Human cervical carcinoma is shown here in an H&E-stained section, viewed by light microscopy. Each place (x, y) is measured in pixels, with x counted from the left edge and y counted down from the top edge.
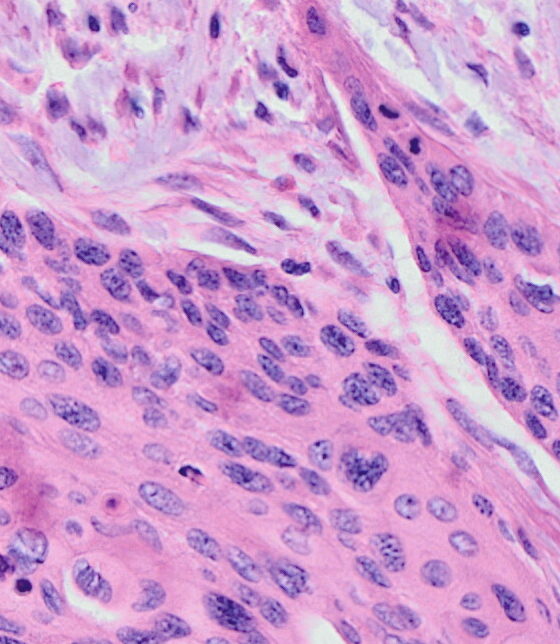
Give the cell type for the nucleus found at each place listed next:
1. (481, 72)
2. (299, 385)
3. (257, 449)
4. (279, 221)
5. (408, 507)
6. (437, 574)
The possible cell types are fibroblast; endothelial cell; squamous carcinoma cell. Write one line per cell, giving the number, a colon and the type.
1: fibroblast
2: squamous carcinoma cell
3: squamous carcinoma cell
4: fibroblast
5: squamous carcinoma cell
6: squamous carcinoma cell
